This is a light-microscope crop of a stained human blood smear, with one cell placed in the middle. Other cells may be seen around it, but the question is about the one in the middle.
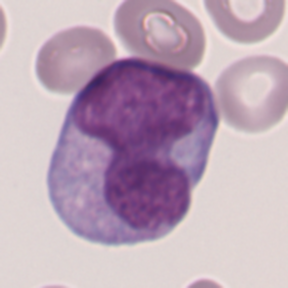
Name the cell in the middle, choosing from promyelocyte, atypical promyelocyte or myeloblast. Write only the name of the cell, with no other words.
atypical promyelocyte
